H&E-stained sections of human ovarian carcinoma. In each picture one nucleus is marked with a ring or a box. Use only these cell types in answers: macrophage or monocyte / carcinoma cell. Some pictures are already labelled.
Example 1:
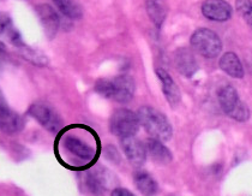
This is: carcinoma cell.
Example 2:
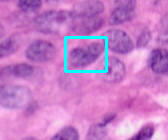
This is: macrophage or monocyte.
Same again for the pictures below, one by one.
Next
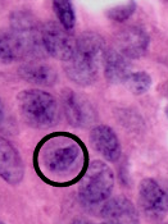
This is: macrophage or monocyte.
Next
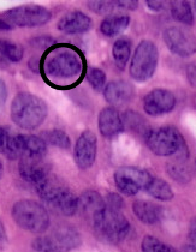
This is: carcinoma cell.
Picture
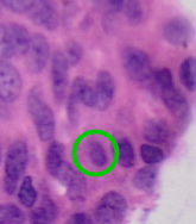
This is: carcinoma cell.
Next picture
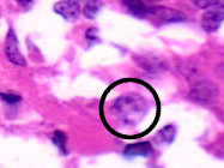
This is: macrophage or monocyte.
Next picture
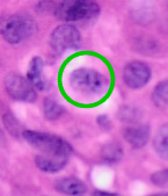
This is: macrophage or monocyte.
